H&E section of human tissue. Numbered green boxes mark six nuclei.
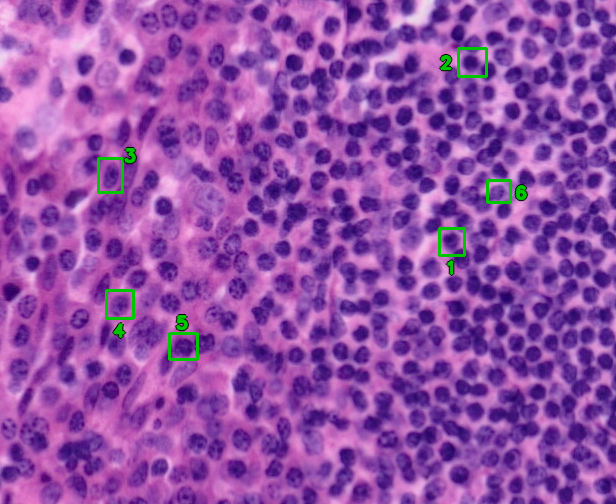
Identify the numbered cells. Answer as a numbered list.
1. small lymphocyte
2. small lymphocyte
3. plasma cell
4. plasma cell
5. plasma cell
6. small lymphocyte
